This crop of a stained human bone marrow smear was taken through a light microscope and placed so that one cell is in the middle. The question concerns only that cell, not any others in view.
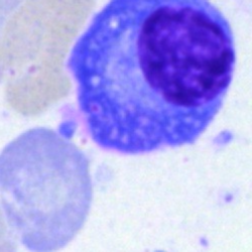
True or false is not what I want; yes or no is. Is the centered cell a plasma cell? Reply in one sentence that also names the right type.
Yes, the cell at the heart of the crop is a plasma cell.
